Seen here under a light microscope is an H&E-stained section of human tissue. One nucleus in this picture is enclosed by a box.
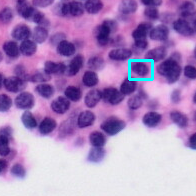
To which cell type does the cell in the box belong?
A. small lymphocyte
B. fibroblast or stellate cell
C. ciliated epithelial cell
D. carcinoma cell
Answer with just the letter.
A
